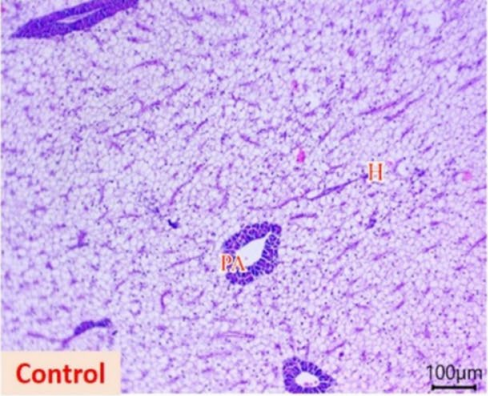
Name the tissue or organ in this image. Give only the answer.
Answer: Hepato-pancreas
